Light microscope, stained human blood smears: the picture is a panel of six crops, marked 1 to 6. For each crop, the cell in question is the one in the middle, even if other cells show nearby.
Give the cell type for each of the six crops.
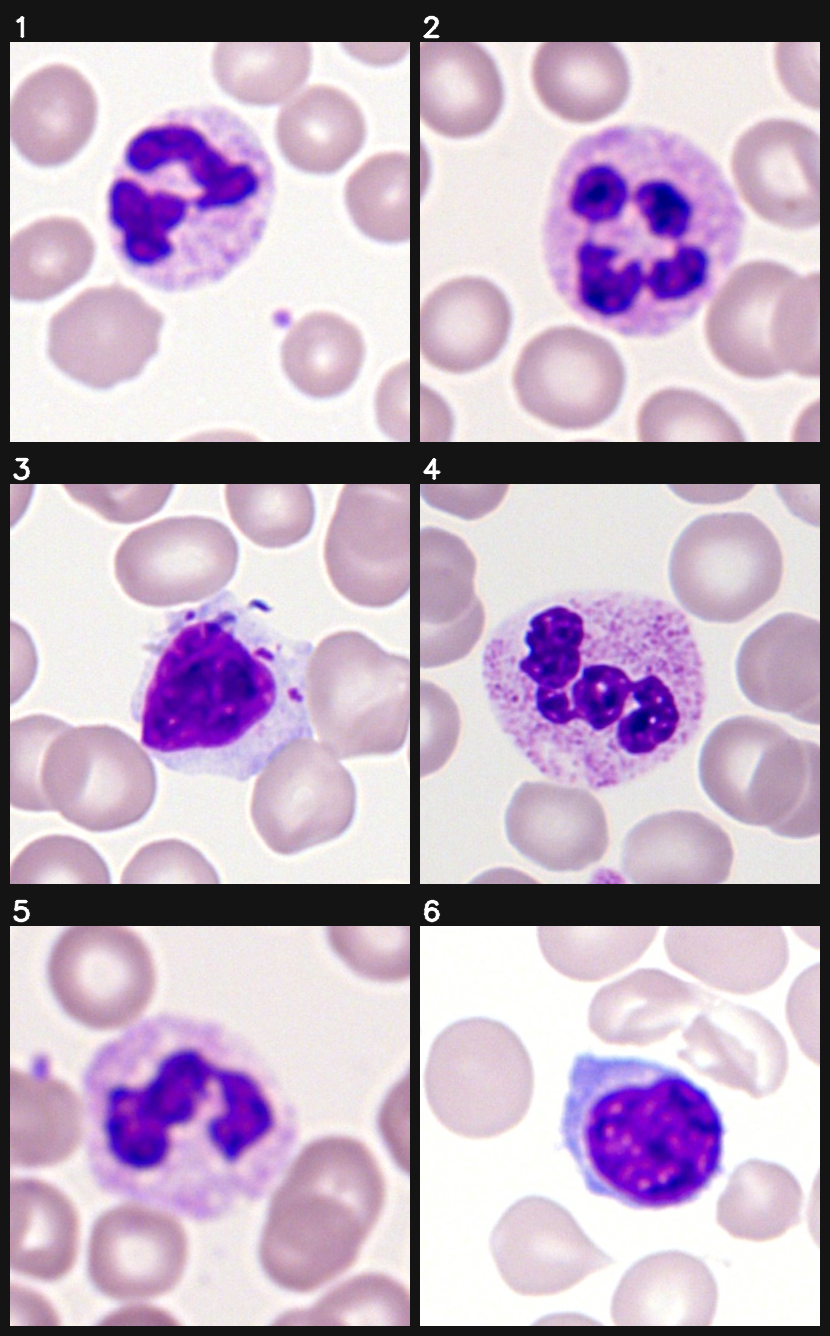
1: segmented neutrophil
2: segmented neutrophil
3: lymphocyte
4: segmented neutrophil
5: segmented neutrophil
6: lymphocyte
